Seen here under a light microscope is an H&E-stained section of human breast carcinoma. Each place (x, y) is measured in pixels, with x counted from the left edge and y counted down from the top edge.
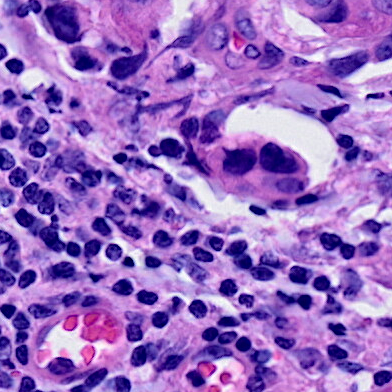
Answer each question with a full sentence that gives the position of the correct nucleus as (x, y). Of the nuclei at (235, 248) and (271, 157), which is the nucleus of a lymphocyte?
The one belonging to a lymphocyte is the nucleus at (235, 248), not the other.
